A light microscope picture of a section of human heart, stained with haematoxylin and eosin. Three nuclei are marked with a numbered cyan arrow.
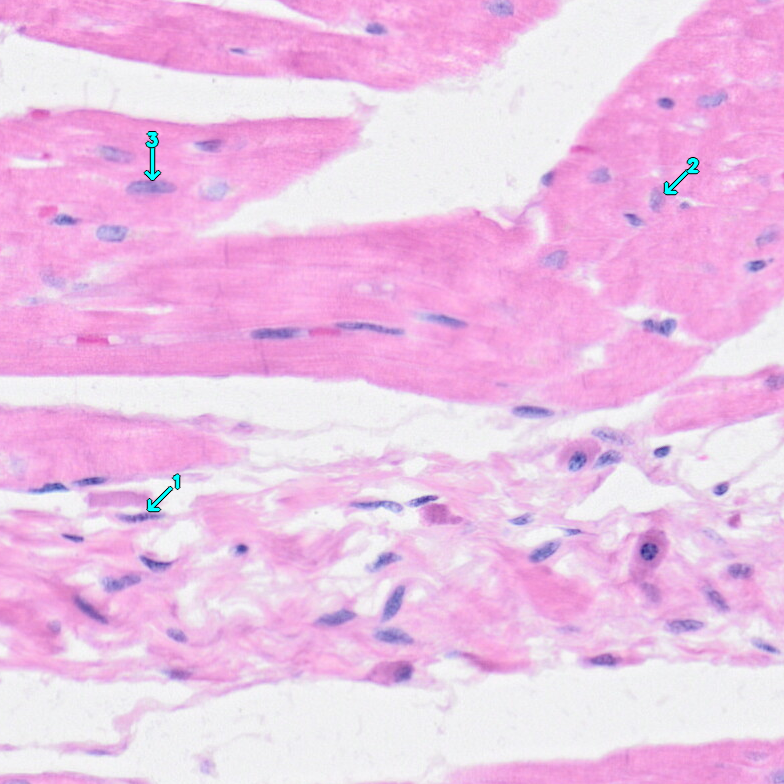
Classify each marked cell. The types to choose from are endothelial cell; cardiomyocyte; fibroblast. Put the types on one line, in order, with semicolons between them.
fibroblast; cardiomyocyte; cardiomyocyte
